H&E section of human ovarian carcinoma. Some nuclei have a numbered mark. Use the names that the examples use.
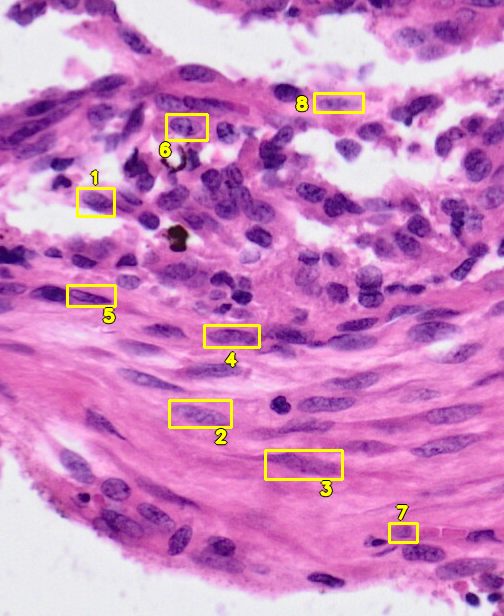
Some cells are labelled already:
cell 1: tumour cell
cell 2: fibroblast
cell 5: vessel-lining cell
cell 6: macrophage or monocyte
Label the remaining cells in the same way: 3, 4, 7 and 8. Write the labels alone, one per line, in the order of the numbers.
fibroblast
vessel-lining cell
vessel-lining cell
macrophage or monocyte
